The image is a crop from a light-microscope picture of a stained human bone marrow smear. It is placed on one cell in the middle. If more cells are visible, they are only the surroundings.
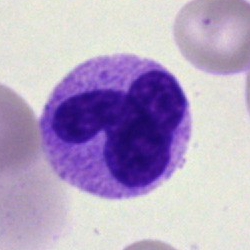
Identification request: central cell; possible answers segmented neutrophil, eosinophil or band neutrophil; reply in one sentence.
Classified as a segmented neutrophil is the cell in the middle of this crop.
